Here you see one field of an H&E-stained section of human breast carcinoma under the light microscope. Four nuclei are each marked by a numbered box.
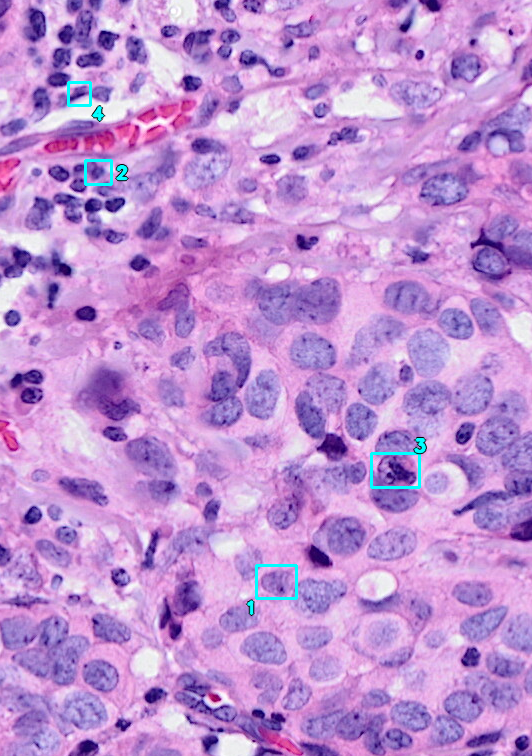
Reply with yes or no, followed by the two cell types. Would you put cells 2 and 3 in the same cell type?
No, that's off: cell 2 is a lymphocyte and cell 3 is a carcinoma cell.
